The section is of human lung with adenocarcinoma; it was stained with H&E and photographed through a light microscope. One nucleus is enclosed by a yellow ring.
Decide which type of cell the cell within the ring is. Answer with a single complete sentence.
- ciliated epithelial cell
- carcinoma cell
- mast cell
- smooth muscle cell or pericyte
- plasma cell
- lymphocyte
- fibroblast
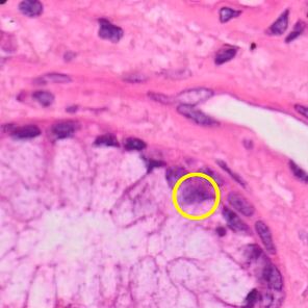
In this section of tissue, the cell within the ring is a ciliated epithelial cell.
